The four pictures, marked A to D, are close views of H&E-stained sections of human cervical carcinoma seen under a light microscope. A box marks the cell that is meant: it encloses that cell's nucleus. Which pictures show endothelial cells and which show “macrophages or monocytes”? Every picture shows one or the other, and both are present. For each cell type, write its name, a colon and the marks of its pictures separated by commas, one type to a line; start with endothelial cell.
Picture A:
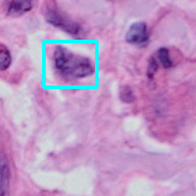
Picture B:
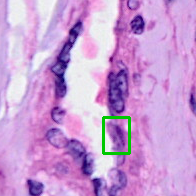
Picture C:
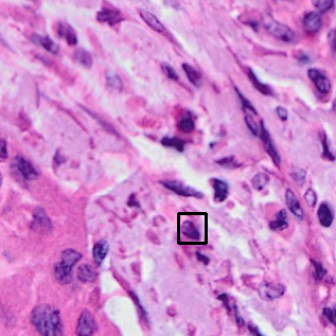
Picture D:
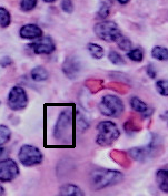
endothelial cell: B, D
macrophage or monocyte: A, C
